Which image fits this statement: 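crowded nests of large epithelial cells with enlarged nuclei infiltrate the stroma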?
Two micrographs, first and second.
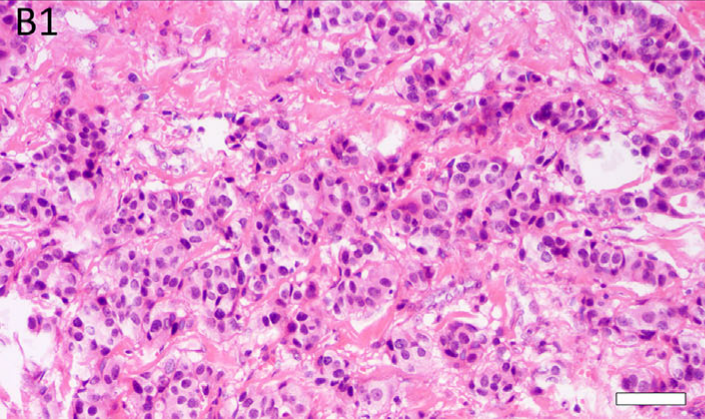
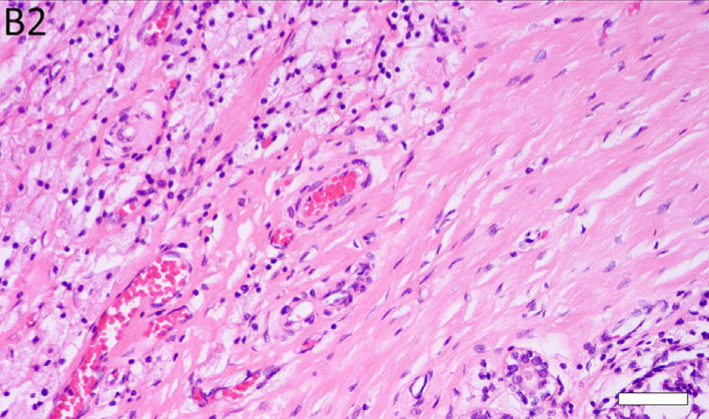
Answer: The first image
